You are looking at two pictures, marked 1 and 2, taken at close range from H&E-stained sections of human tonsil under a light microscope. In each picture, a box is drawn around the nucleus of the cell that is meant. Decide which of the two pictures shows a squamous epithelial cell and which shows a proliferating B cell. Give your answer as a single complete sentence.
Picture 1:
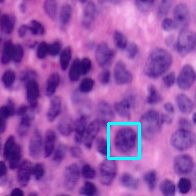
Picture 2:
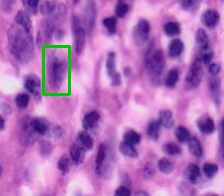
It is picture 1 that shows a proliferating B cell, and picture 2 that shows a squamous epithelial cell.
